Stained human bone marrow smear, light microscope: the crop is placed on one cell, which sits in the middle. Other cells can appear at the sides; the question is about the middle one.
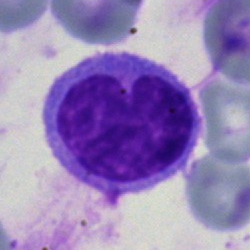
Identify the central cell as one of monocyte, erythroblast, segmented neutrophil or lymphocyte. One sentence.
Classification of the middle cell gives a monocyte.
